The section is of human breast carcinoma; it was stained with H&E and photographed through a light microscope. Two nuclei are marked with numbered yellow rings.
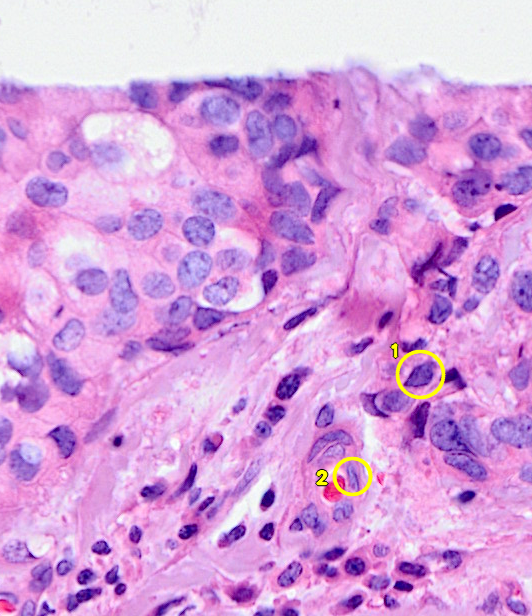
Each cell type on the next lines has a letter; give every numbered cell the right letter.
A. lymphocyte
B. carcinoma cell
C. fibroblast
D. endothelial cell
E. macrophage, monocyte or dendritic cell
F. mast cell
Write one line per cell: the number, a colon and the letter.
1: B
2: D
